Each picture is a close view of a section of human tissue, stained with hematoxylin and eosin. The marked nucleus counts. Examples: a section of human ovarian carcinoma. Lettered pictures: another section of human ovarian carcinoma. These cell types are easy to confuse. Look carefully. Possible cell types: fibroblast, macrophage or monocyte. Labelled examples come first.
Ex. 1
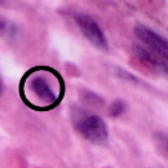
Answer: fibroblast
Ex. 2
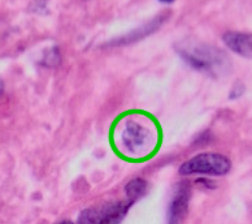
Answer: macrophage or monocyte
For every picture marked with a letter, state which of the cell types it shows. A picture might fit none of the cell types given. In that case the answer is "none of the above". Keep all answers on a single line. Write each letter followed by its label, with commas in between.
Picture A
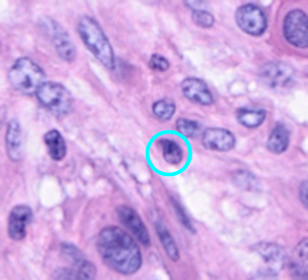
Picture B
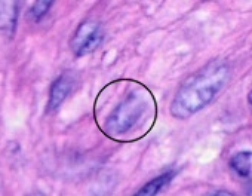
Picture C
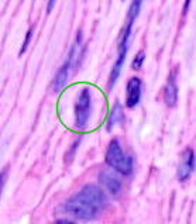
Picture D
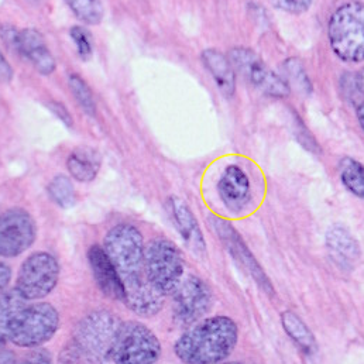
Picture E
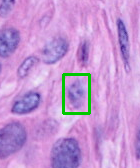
A macrophage or monocyte, B fibroblast, C fibroblast, D macrophage or monocyte, E fibroblast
